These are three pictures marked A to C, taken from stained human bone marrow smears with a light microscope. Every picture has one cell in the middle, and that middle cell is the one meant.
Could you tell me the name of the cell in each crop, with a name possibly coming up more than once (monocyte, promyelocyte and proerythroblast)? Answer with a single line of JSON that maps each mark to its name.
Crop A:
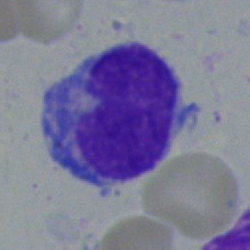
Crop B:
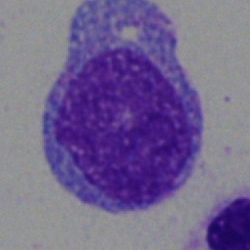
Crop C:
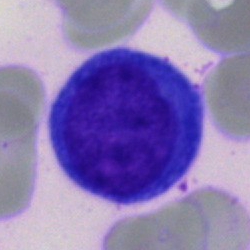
{"A": "monocyte", "B": "promyelocyte", "C": "proerythroblast"}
